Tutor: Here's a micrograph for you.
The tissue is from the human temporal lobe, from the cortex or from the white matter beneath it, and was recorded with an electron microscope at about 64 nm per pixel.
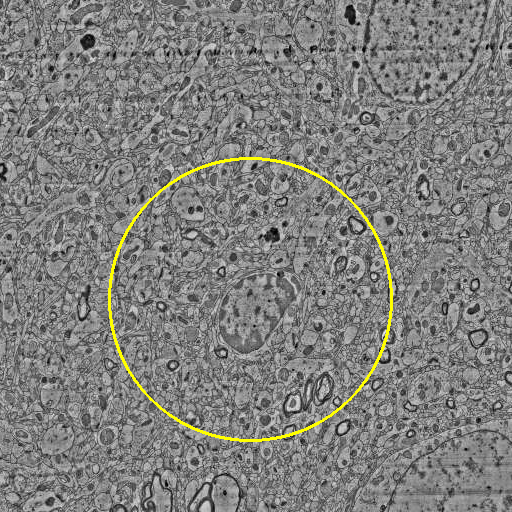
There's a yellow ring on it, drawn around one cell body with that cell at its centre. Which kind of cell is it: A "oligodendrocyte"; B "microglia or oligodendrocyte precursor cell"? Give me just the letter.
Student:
B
